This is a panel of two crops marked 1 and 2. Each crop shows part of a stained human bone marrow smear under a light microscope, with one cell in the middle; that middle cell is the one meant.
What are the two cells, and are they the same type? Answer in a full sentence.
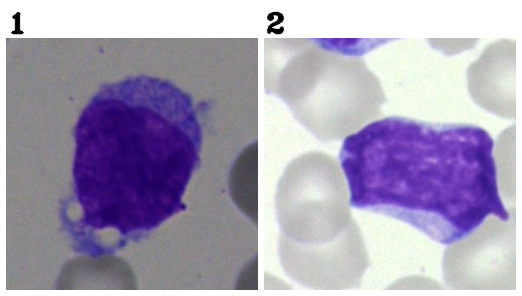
Yes, both crops depict blasts at the centre.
